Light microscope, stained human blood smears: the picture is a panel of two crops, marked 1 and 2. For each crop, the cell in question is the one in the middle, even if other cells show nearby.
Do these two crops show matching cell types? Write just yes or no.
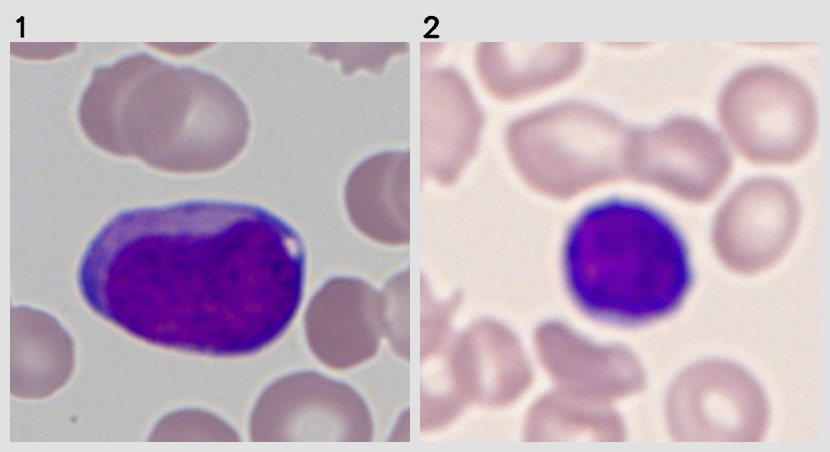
no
